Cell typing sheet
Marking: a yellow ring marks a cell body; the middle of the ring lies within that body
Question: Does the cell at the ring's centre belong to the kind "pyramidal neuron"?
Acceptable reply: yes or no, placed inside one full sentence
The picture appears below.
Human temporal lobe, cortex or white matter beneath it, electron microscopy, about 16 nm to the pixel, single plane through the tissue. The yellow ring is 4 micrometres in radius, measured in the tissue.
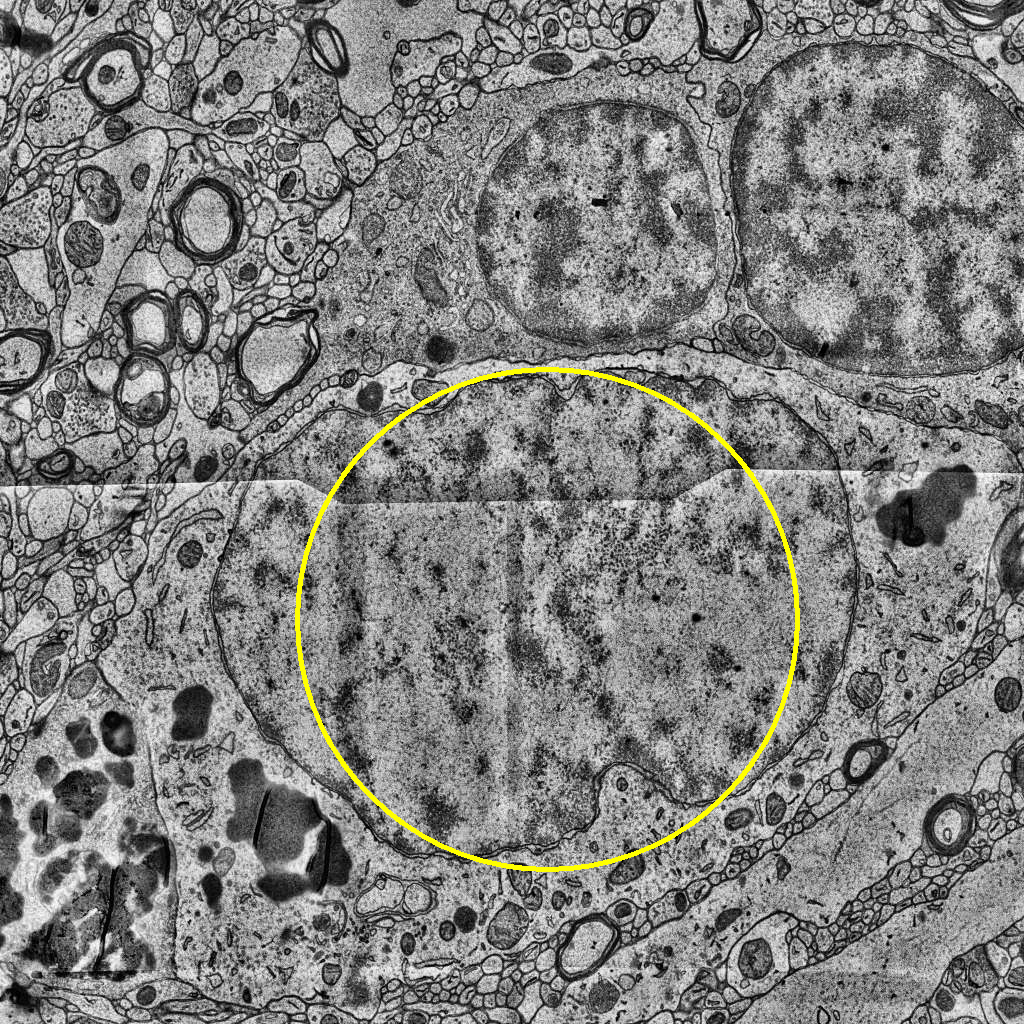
No, the cell at the centre of the ring belongs to a different kind.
